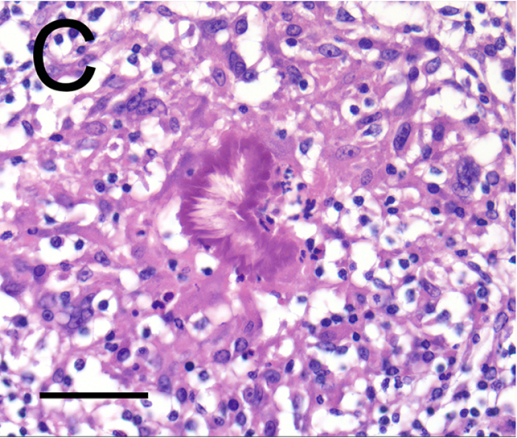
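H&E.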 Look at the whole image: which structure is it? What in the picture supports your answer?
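A central bright pink deposit with radiating, club-like projections.
Hence: Splendore-Hoeppli bodies.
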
